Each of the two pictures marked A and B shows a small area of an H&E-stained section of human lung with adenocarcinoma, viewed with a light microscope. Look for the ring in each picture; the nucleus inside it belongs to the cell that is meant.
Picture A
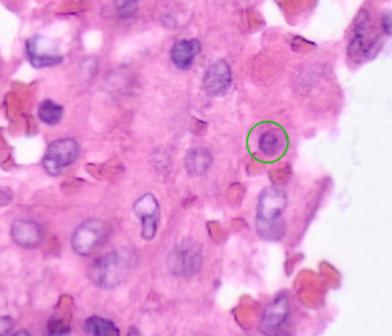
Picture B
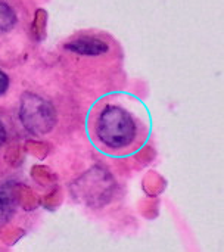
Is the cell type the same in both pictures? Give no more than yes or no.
yes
